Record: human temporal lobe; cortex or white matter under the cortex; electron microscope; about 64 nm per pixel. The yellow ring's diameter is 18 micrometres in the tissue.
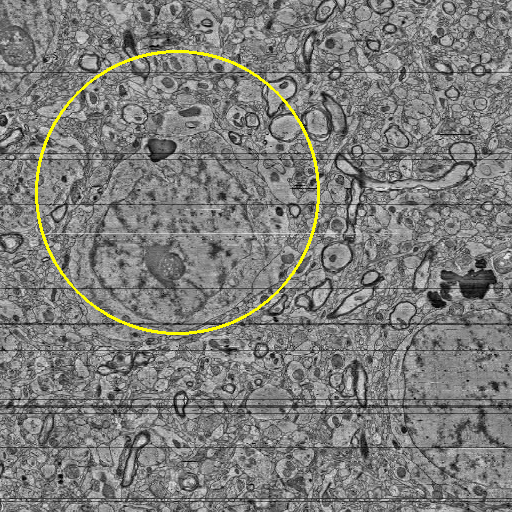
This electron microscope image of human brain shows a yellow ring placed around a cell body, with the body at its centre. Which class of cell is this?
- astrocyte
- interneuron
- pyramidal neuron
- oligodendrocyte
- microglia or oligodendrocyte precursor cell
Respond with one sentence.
The cell body at the ring's centre is an interneuron.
